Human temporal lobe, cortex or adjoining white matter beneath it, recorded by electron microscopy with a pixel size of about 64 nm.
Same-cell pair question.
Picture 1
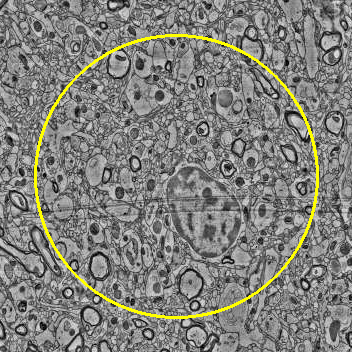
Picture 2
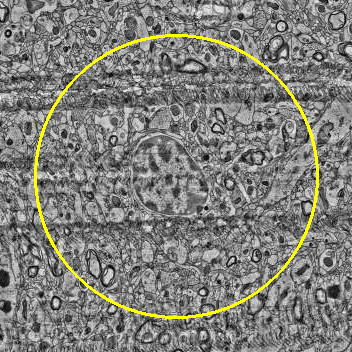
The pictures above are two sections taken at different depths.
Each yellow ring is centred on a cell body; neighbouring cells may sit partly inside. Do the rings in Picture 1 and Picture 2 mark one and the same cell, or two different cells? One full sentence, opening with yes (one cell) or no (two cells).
Yes, one cell appears twice, once in each ring.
